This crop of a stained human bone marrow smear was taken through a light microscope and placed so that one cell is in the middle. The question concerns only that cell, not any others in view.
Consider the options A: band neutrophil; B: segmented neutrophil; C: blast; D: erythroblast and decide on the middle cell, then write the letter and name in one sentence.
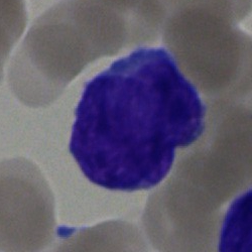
The correct option, C, names the middle cell as a blast.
